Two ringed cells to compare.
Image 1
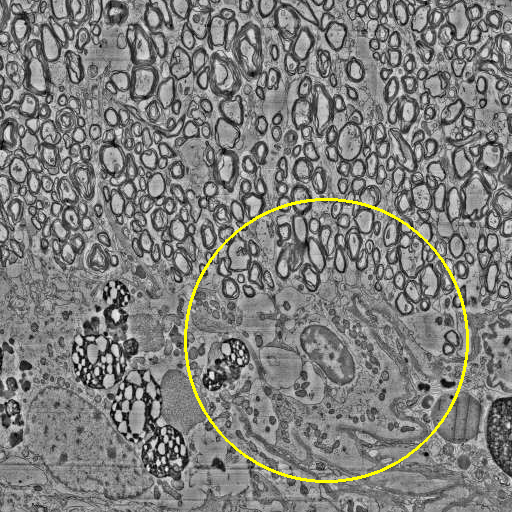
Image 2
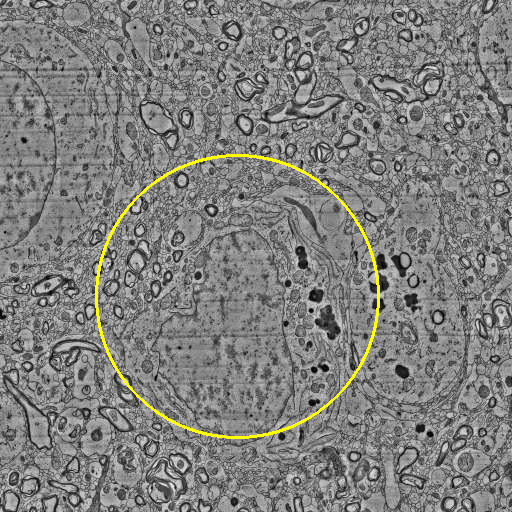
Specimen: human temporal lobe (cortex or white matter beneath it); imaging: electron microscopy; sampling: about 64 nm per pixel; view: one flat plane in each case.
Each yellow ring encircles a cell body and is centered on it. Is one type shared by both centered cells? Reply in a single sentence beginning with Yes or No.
No, two types are found among the cells at the centers of the rings.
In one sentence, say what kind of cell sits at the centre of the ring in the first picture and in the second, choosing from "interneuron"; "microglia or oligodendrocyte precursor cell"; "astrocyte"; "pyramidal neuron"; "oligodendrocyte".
The first picture's ringed cell is a microglial cell or oligodendrocyte precursor cell, while the second picture's is an interneuron.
